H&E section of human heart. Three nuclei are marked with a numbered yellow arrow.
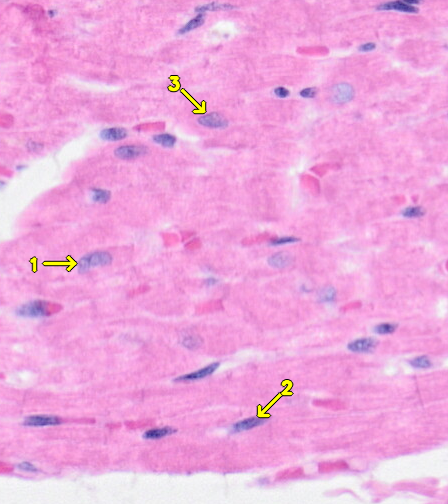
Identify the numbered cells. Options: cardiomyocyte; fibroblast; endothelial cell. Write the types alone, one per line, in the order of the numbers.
cardiomyocyte
endothelial cell
cardiomyocyte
